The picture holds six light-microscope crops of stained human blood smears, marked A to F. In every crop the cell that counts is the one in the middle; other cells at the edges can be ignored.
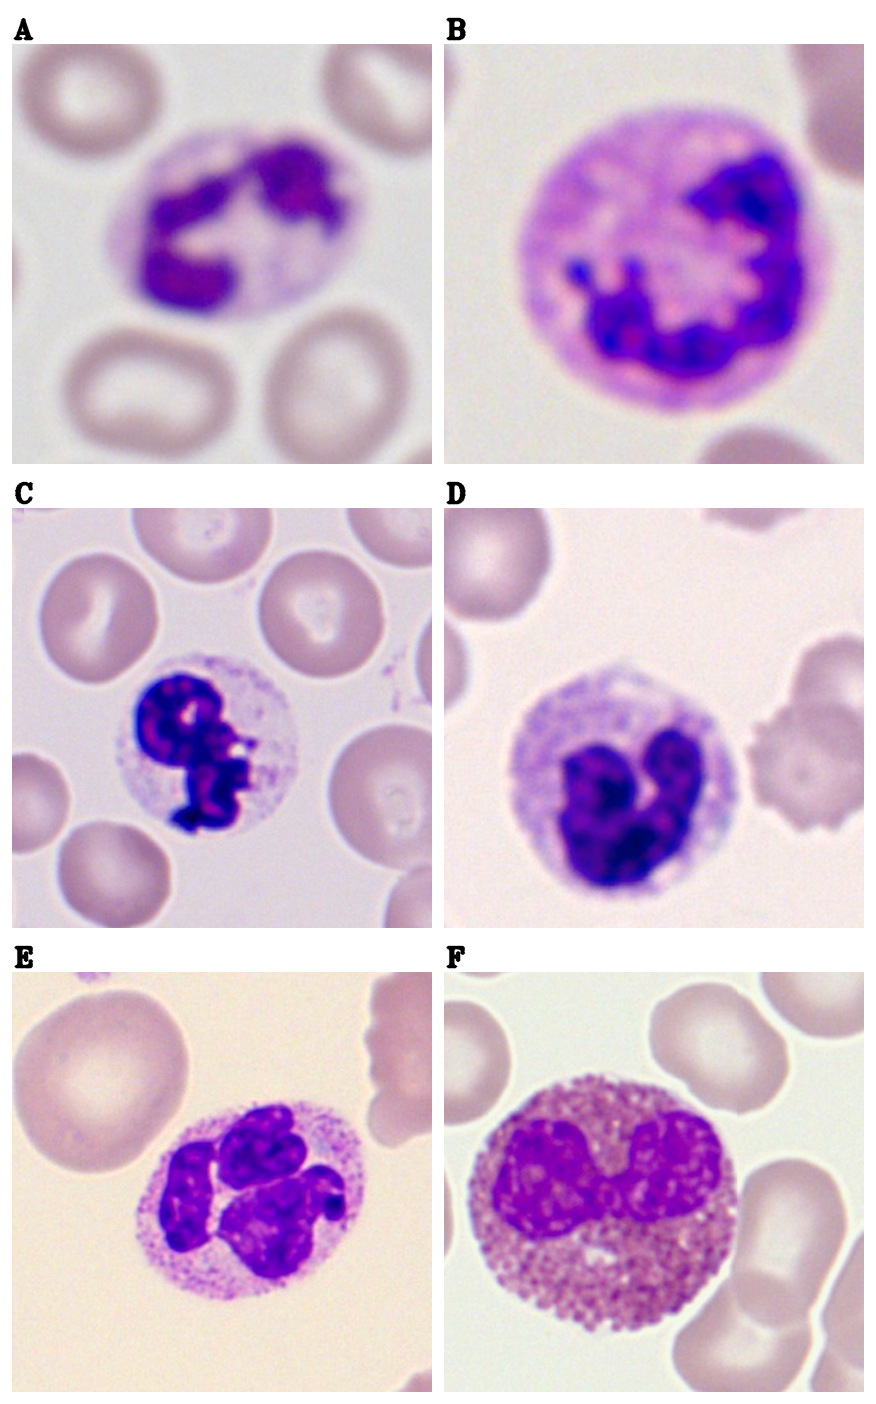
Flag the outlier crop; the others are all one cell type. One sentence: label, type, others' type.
Crop F is the only one that is an eosinophil; all the others show segmented neutrophils.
